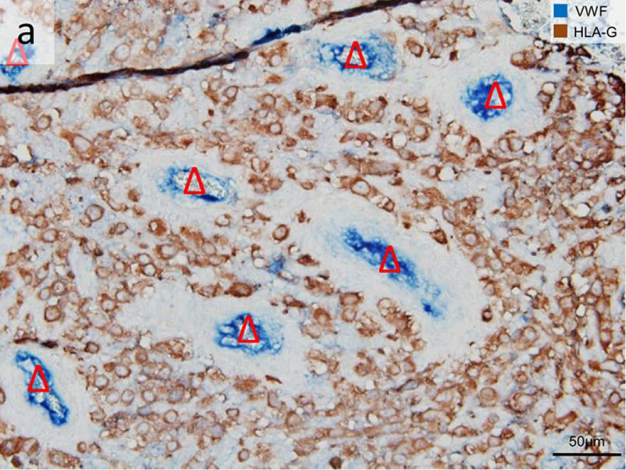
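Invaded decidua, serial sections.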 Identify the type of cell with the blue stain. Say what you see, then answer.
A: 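Vascular endothelial cells. Blue stain forms thin linings around small lumina. Blue-lined lumina lie in the centre of pale rings.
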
